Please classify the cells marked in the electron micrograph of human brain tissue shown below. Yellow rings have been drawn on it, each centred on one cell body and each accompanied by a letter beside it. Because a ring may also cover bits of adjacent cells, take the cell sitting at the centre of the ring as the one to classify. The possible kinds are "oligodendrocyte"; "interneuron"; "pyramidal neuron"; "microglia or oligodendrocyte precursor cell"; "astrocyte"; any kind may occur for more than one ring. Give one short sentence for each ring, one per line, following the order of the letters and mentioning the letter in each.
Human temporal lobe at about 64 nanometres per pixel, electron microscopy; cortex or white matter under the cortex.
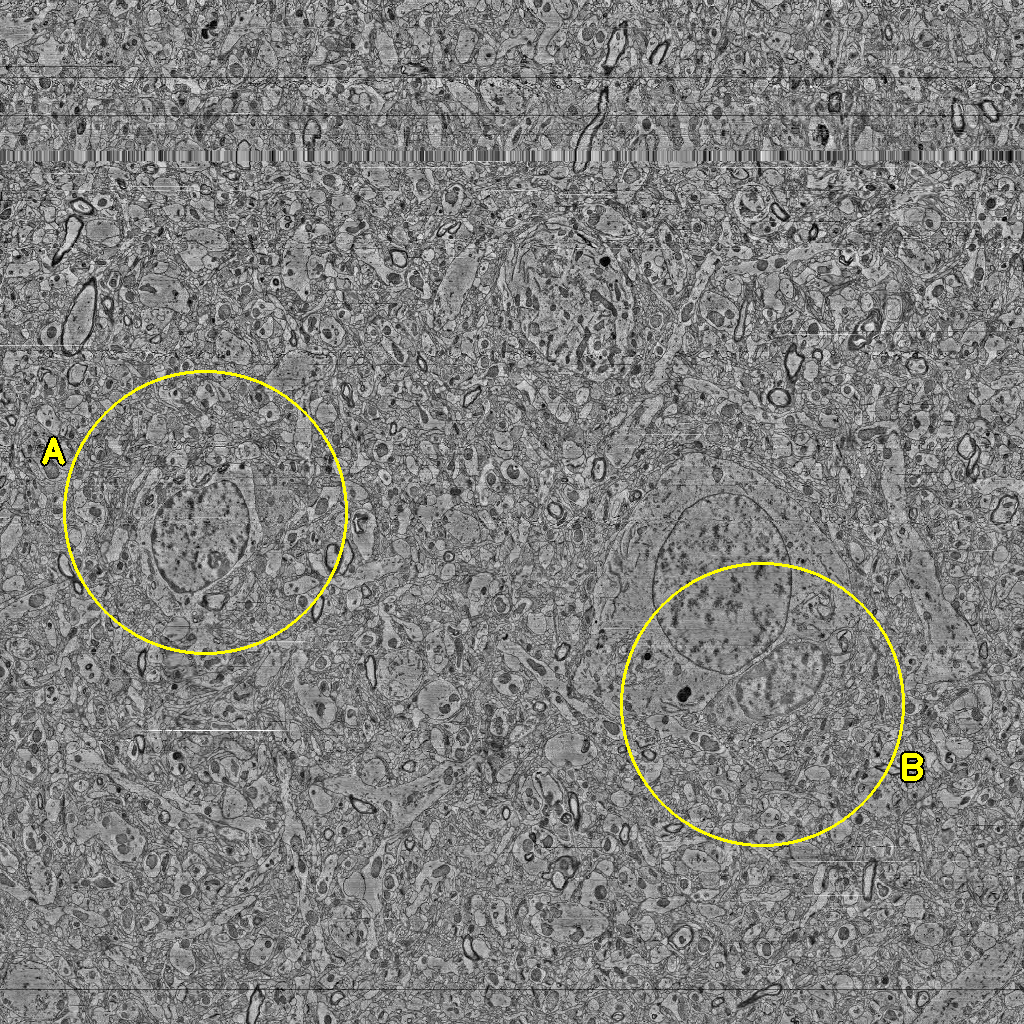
Ring A marks the cell body of a microglial cell or oligodendrocyte precursor cell.
Ring B marks the cell body of an oligodendrocyte.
